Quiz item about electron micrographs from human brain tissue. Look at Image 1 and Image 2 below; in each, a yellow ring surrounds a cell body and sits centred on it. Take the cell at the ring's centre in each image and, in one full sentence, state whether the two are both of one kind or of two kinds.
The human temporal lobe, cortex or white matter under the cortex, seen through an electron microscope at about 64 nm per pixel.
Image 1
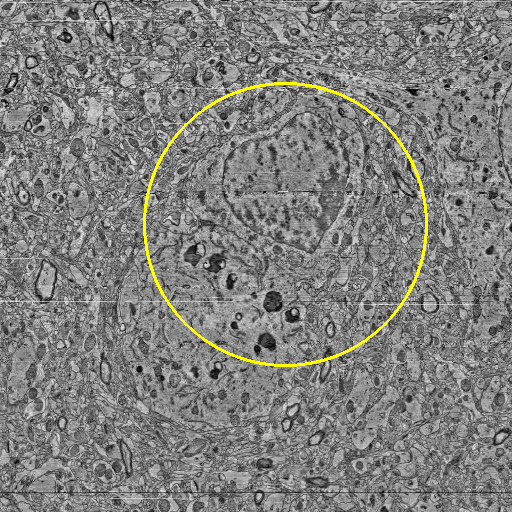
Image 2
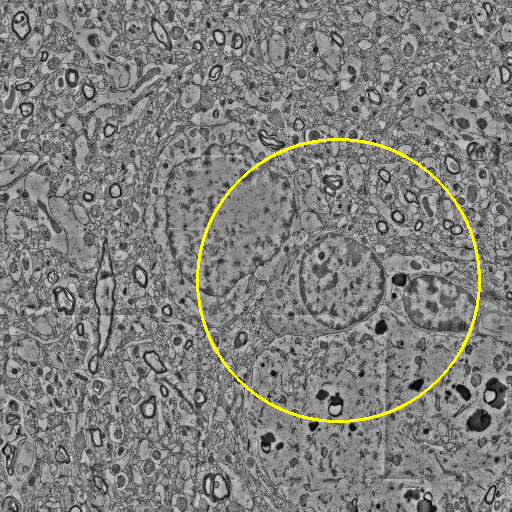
In Image 1 and Image 2, the cells at the ring centres are of two kinds.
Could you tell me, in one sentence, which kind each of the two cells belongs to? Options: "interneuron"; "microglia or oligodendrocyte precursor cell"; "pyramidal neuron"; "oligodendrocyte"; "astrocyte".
At the centre of the first ring sits an interneuron, and at the centre of the second sits an oligodendrocyte.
